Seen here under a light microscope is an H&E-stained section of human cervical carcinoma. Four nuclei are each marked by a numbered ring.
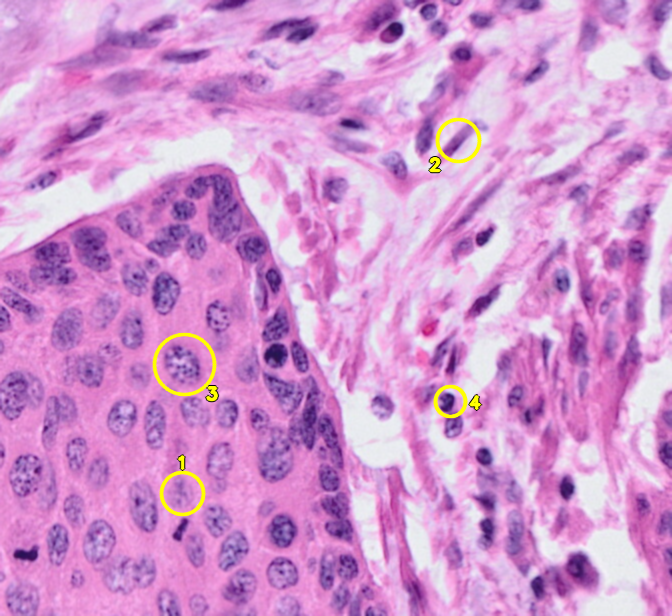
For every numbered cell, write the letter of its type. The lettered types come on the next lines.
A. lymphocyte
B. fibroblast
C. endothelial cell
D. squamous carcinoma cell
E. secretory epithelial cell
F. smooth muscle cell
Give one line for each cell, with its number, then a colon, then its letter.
1: D
2: B
3: D
4: A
